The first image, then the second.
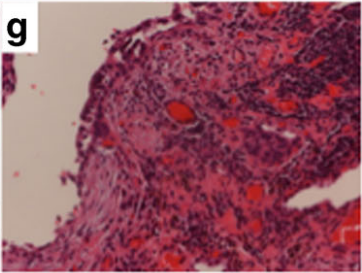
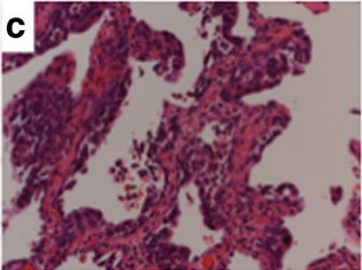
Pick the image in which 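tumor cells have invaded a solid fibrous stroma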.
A: The first image.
